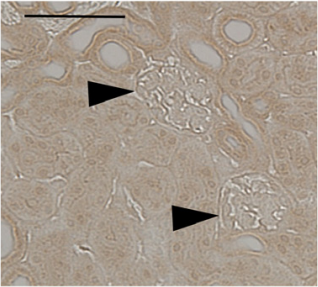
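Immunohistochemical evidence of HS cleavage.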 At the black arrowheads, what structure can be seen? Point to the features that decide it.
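Arrowheads point to round tufts of capillary loops. The tufts sit among cross-sectioned tubules.
Conclusion: glomeruli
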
